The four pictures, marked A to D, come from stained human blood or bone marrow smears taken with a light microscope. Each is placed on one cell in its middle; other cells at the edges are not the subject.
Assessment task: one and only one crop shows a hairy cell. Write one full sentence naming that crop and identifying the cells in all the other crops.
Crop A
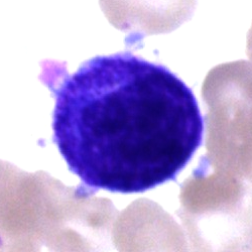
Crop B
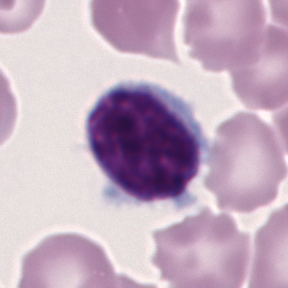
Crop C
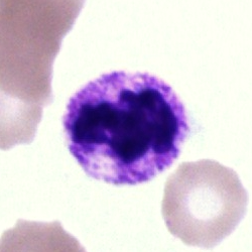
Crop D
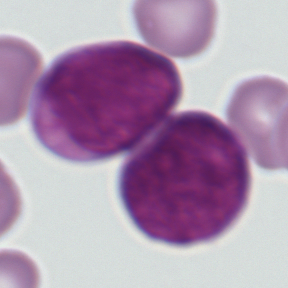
Crop B contains a hairy cell; meanwhile, crop A is a promyelocyte, crop C is a segmented neutrophil and crop D is a blast.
